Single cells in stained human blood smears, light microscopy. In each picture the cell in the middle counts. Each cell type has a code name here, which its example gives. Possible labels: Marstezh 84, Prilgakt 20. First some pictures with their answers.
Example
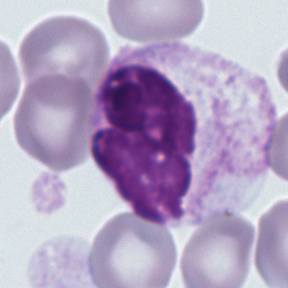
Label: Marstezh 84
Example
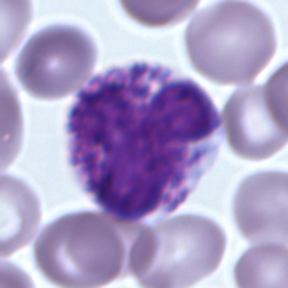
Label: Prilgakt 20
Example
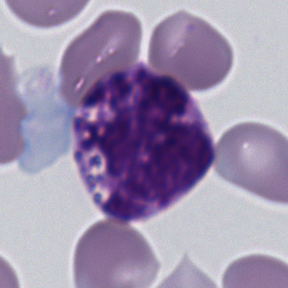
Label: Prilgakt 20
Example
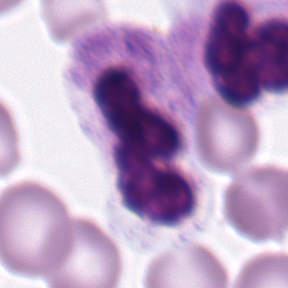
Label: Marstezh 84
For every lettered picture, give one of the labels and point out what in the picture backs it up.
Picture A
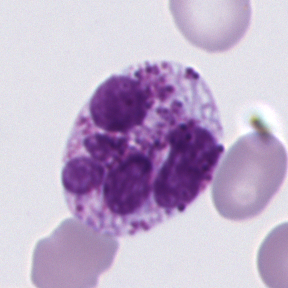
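Prilgakt 20. Coarse dark purple granules are scattered through the cytoplasm.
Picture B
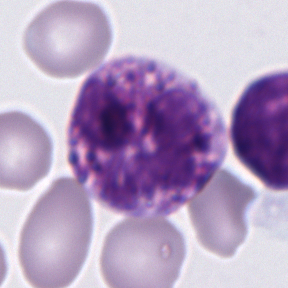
Prilgakt 20. Coarse, dark purple granules are scattered across the cell.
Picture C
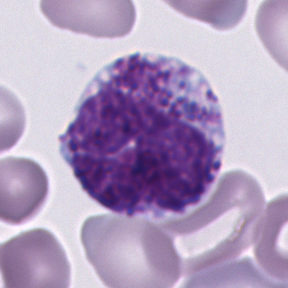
Prilgakt 20. The nucleus fills most of the cell and lies toward the lower left.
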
